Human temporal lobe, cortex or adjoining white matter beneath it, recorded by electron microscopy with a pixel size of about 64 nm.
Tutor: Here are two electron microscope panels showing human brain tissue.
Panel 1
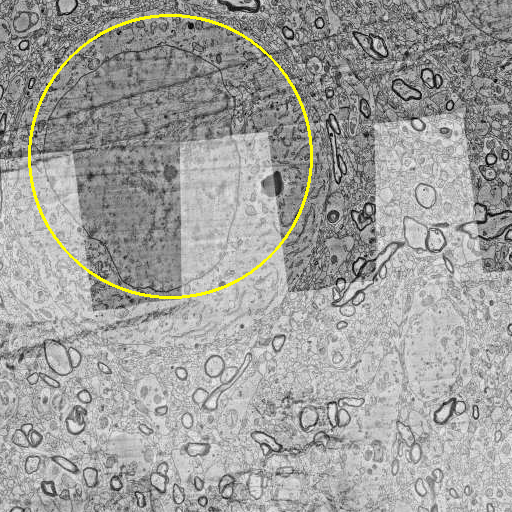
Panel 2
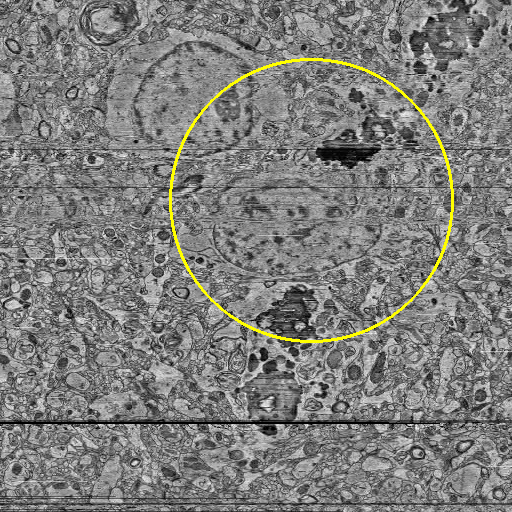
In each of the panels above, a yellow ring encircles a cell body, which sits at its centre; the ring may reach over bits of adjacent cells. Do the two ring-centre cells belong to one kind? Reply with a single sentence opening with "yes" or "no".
No, the two cells sitting at the ring centres in the panels belong to two kinds.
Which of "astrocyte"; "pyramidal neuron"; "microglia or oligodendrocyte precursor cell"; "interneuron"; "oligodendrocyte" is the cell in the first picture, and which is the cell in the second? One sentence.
The two differ: the first cell is a pyramidal neuron and the second is an astrocyte.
